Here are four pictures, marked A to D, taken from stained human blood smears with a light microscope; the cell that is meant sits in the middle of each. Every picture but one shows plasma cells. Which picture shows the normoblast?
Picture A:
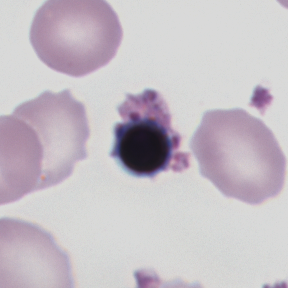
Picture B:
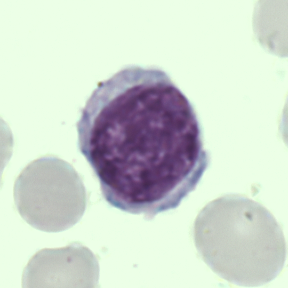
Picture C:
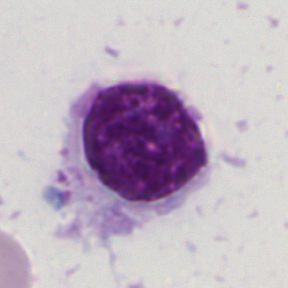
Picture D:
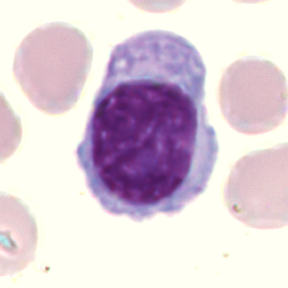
A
